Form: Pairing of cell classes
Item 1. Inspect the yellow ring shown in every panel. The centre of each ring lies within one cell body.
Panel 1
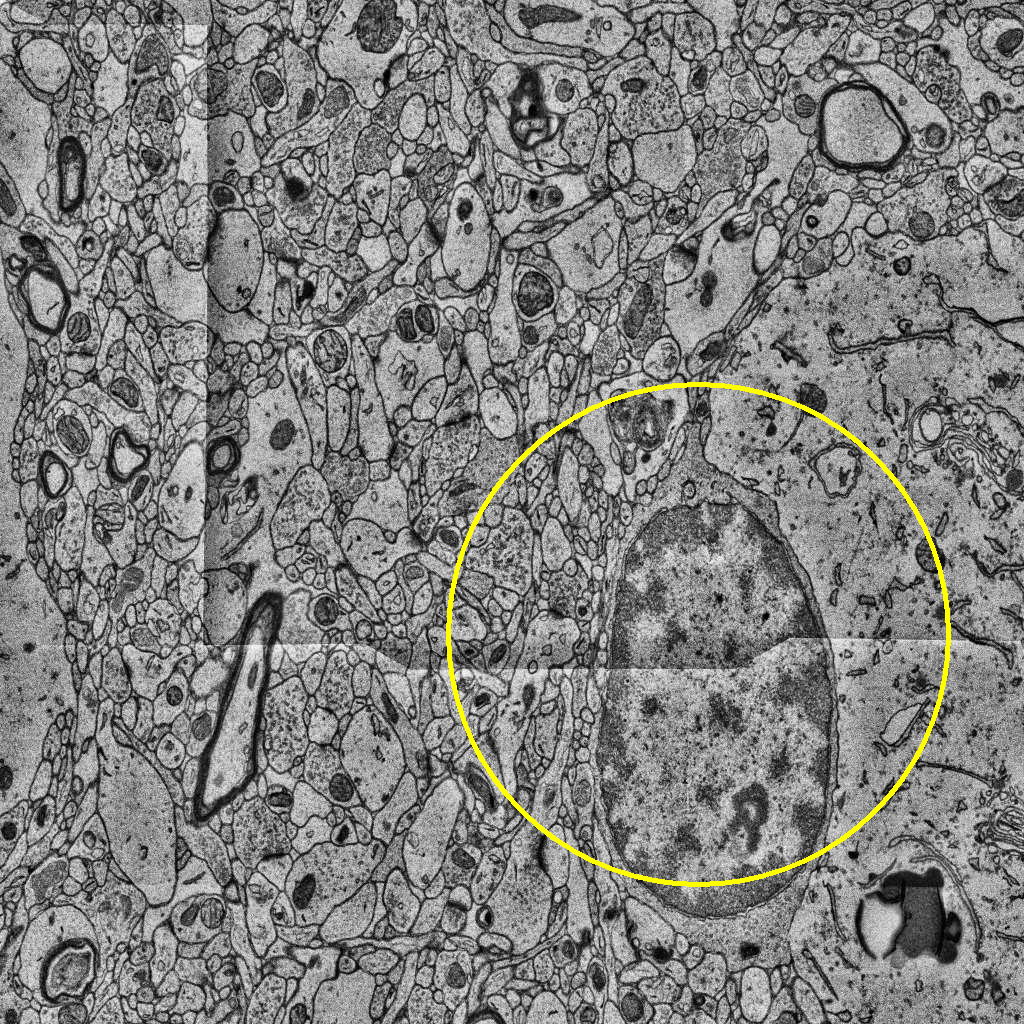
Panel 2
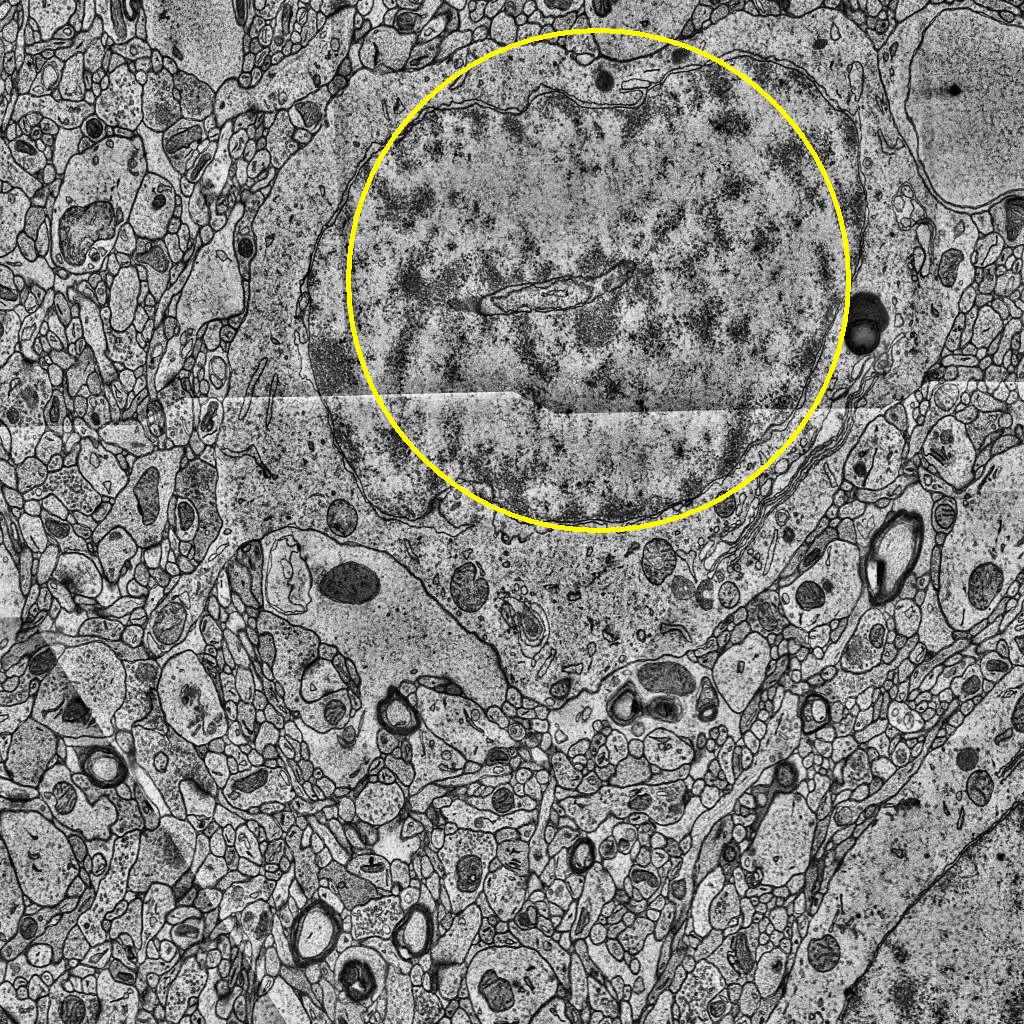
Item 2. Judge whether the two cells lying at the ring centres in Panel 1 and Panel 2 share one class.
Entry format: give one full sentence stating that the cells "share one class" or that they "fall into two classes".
The cells at the ring centres in Panel 1 and Panel 2 fall into two classes.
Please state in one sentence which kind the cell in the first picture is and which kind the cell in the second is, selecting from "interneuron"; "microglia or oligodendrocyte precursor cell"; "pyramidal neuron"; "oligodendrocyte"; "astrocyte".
The ring of the first picture is on an oligodendrocyte, the ring of the second on an interneuron.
